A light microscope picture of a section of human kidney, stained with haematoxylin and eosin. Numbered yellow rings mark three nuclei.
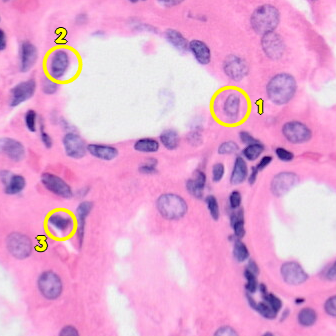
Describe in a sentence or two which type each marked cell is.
Cells 1 and 2 are loop of Henle or distal tubule cells. Cell 3 is an endothelial cell.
